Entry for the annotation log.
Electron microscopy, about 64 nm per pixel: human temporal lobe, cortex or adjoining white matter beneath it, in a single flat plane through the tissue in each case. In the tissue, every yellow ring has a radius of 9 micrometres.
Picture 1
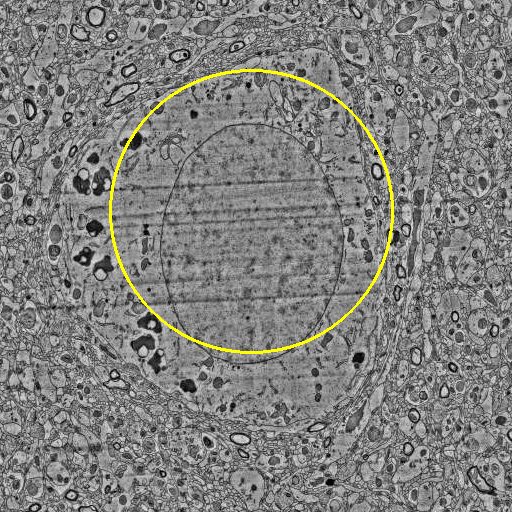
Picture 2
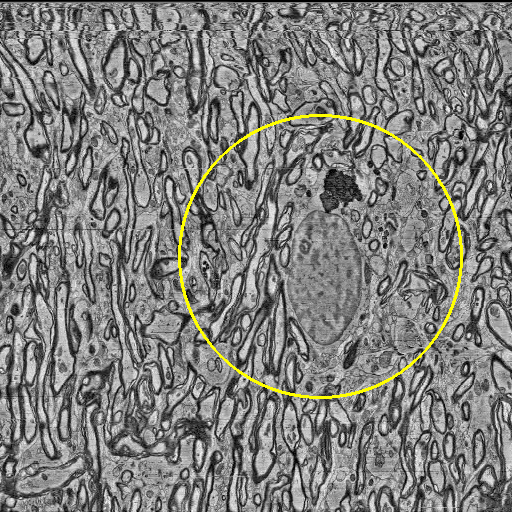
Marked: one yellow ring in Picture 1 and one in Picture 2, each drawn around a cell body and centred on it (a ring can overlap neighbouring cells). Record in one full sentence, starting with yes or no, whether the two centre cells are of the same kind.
No, the two cells are of two kinds.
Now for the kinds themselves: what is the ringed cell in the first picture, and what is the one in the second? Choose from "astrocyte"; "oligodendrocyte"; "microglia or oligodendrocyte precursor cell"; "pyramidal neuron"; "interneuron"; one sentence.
Here the first cell is a pyramidal neuron and the second cell is an oligodendrocyte.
